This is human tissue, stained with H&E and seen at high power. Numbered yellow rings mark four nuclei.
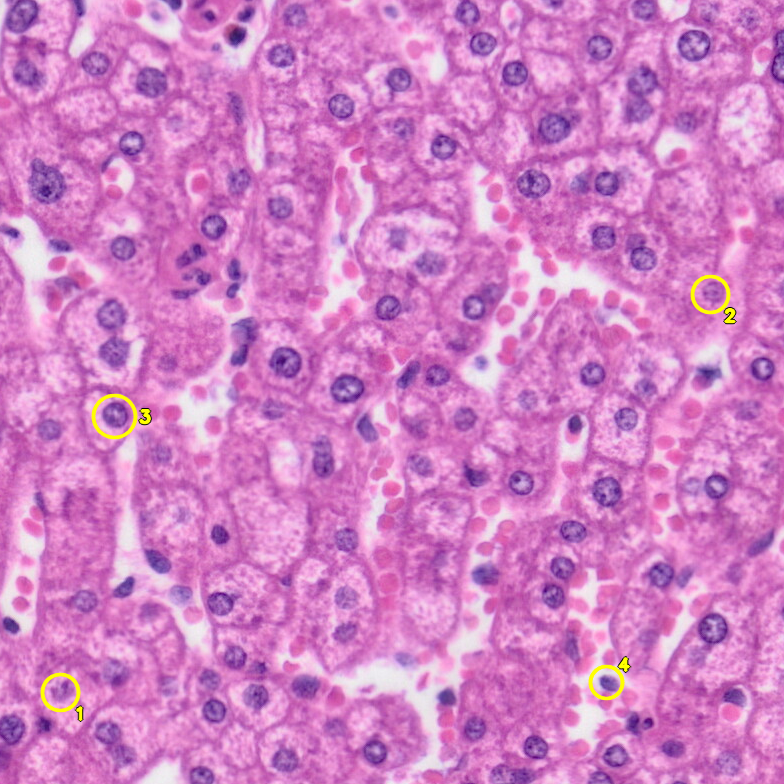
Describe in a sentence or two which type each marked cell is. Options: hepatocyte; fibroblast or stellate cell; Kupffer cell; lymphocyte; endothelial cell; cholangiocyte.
Cell 1 is a hepatocyte, cell 2 is a hepatocyte, cell 3 is a hepatocyte and cell 4 is a lymphocyte.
